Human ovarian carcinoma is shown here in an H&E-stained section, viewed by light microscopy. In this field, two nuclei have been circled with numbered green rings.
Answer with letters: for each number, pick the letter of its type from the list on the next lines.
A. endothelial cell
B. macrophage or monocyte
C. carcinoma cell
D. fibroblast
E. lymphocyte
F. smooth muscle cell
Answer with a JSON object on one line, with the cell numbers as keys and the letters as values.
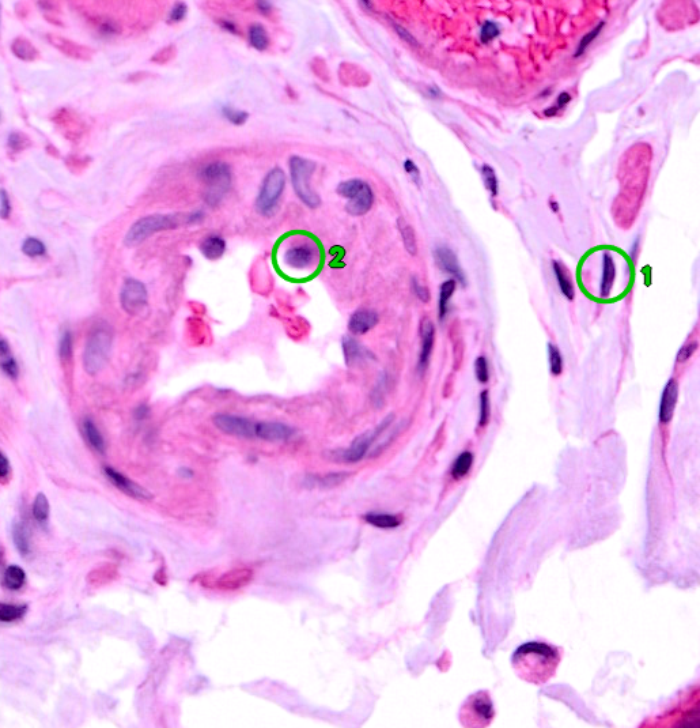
{"1": "D", "2": "A"}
